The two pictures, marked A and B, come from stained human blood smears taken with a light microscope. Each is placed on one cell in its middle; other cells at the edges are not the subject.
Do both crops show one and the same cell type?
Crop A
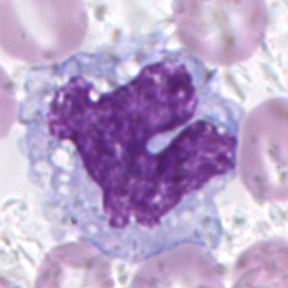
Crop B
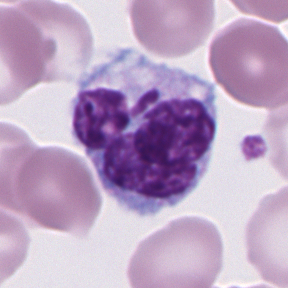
yes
